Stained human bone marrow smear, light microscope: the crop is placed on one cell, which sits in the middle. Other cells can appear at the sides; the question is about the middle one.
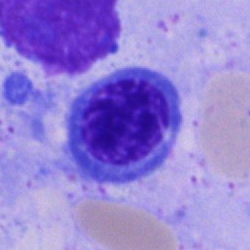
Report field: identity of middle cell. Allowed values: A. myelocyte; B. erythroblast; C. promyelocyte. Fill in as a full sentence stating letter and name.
Here the right option is B, as the cell in the middle is an erythroblast.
